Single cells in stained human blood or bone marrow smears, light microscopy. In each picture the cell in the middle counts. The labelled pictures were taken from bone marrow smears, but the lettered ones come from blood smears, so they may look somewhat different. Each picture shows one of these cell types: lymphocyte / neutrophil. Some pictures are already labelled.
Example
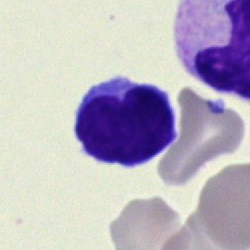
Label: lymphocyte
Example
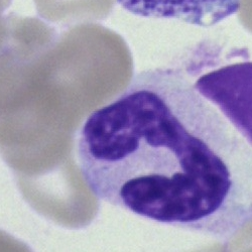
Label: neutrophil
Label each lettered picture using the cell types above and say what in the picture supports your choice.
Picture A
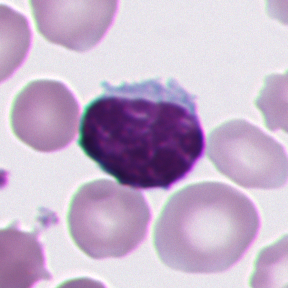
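Answer: lymphocyte. The cytoplasm is scant and shows mainly as a thin cap along the top of the cell.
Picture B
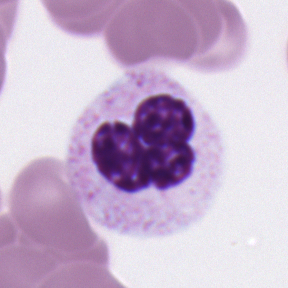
Answer: neutrophil. The cytoplasm is abundant and pale lilac.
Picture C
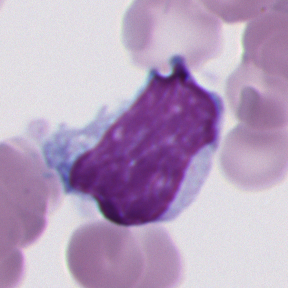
Answer: lymphocyte. The nucleus is an angular, roughly four-sided mass that fills most of the cell.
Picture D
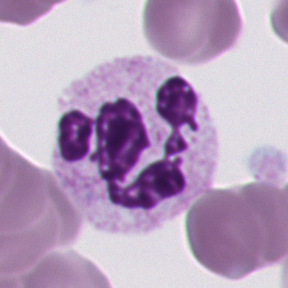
Answer: neutrophil. The cytoplasm is plentiful and pale pinkish-lilac.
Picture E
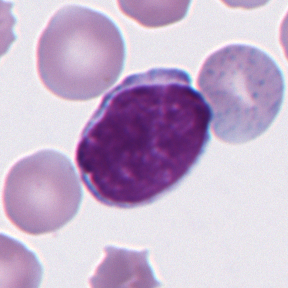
Answer: lymphocyte. The cytoplasm is scant and forms only a thin rim around the nucleus.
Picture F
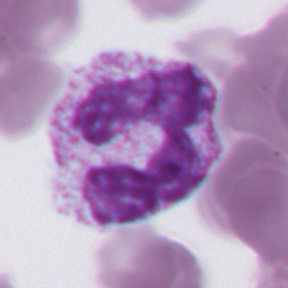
Answer: neutrophil. Numerous pink-violet granules are scattered throughout the cytoplasm.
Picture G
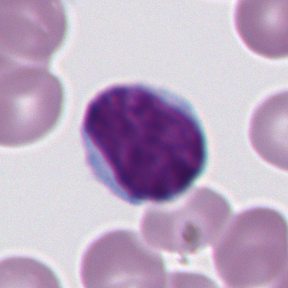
Answer: lymphocyte. The cytoplasm shows mainly as a narrow crescent on the left side of the cell.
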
